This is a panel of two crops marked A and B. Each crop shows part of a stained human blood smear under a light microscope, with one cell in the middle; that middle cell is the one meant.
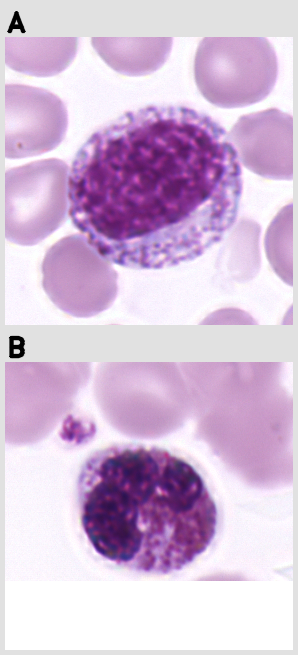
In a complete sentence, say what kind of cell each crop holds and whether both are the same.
No, crop A contains a myelocyte, and crop B contains an eosinophil.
